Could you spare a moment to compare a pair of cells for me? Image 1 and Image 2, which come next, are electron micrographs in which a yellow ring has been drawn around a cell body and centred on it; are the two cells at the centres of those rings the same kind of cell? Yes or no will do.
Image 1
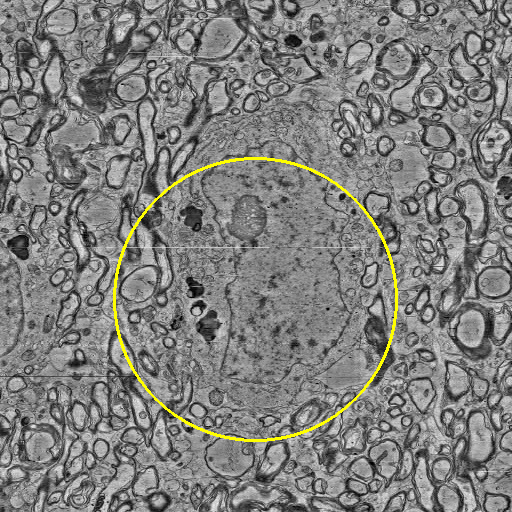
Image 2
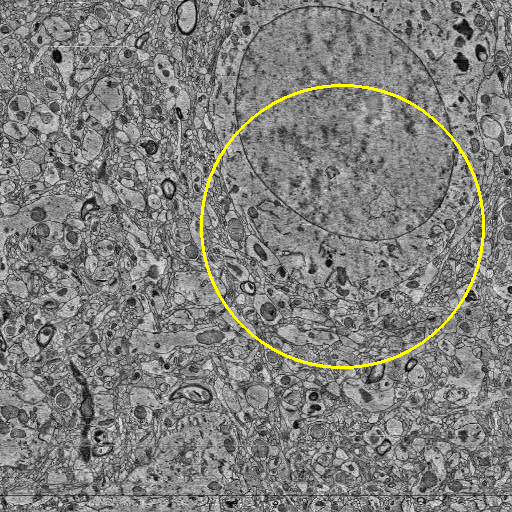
yes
